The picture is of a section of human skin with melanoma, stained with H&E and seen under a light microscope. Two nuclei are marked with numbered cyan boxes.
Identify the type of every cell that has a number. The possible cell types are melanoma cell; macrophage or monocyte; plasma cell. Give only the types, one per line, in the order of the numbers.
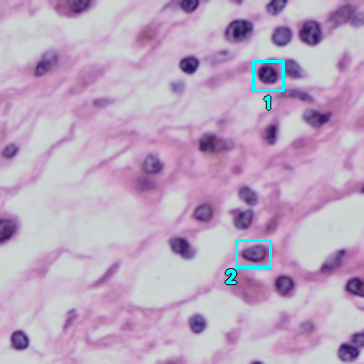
plasma cell
macrophage or monocyte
